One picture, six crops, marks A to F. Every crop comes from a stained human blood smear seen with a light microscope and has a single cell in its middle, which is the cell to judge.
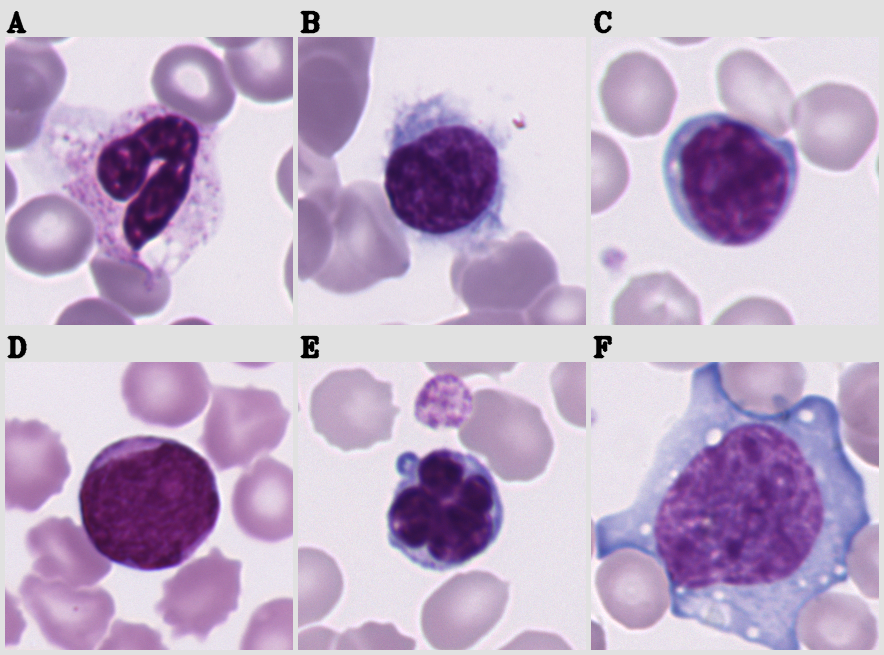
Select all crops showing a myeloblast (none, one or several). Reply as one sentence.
In crops D and F, the centrally located cells represent myeloblasts.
